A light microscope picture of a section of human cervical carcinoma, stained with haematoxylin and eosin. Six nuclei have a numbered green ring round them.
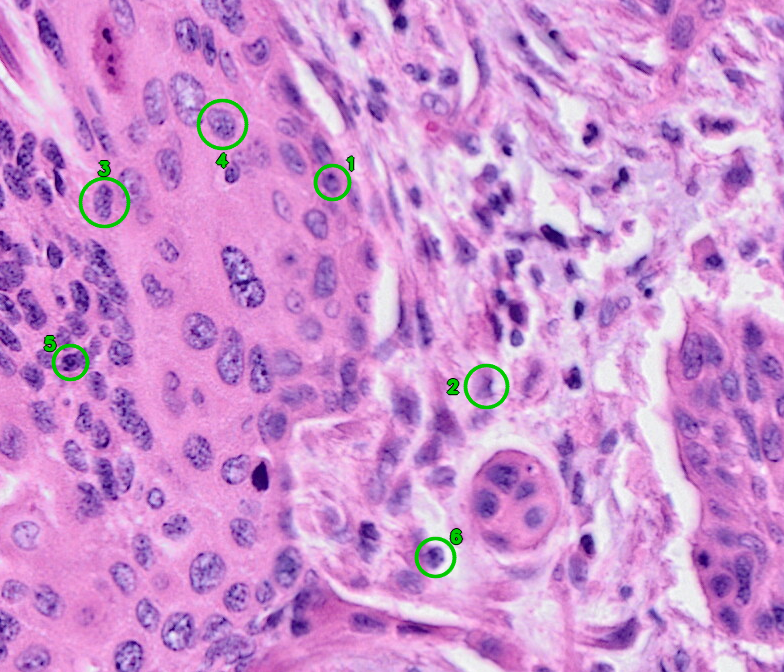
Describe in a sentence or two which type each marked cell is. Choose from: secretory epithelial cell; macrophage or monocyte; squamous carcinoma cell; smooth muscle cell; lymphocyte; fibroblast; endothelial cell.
Cells 1, 3, 4 and 5 are squamous carcinoma cells. Cell 2 is a fibroblast. Cell 6 is a lymphocyte.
